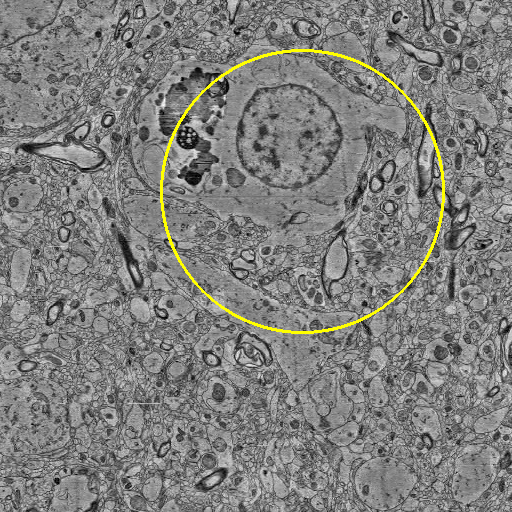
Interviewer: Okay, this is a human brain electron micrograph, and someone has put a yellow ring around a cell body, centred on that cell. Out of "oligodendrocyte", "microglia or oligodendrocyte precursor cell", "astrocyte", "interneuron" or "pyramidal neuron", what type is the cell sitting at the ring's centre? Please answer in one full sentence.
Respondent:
The cell at the centre of the yellow ring in this picture is an astrocyte.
